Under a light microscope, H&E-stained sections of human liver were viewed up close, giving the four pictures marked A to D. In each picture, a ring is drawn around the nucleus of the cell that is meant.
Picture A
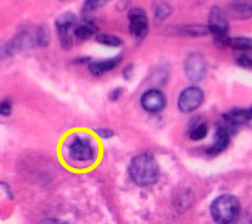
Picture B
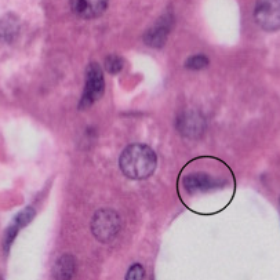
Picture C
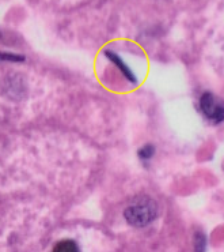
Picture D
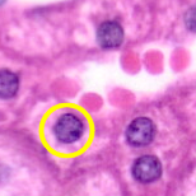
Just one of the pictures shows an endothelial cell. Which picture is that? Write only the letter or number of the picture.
C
